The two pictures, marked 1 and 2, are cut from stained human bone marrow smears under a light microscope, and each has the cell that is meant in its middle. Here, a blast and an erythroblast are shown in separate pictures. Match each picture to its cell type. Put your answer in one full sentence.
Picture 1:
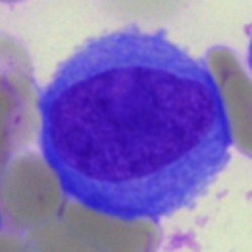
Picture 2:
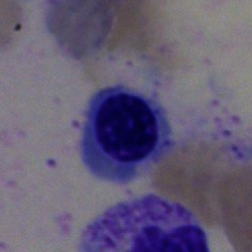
Picture 1 shows a blast and picture 2 shows an erythroblast.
